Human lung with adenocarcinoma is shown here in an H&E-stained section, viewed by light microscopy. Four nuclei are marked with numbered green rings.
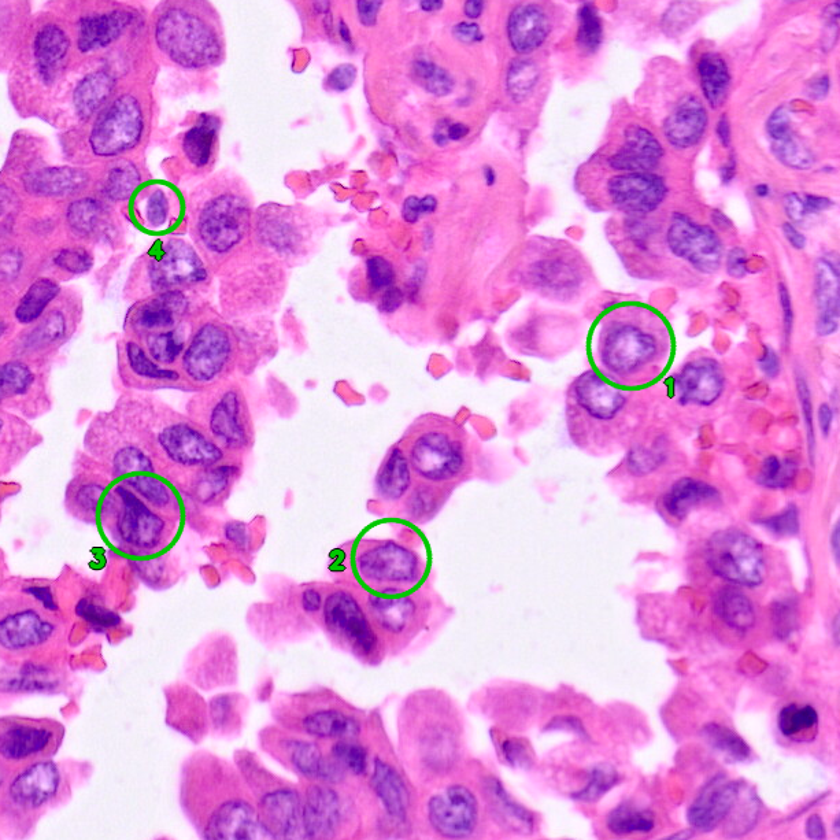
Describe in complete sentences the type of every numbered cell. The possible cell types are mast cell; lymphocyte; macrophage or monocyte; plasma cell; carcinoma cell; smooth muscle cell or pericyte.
Cell 1 is a carcinoma cell, cell 2 is a carcinoma cell, cell 3 is a carcinoma cell and cell 4 is a lymphocyte.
